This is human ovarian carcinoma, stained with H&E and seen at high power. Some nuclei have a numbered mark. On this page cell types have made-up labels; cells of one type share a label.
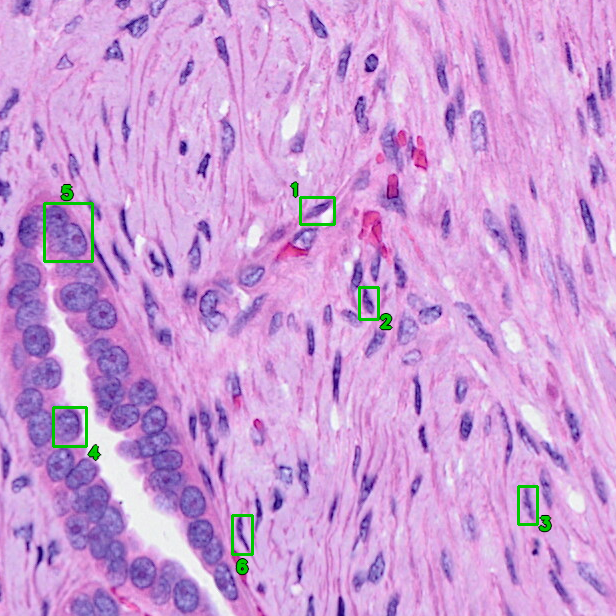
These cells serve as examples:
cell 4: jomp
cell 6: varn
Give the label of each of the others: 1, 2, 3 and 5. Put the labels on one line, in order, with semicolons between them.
varn; varn; varn; jomp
